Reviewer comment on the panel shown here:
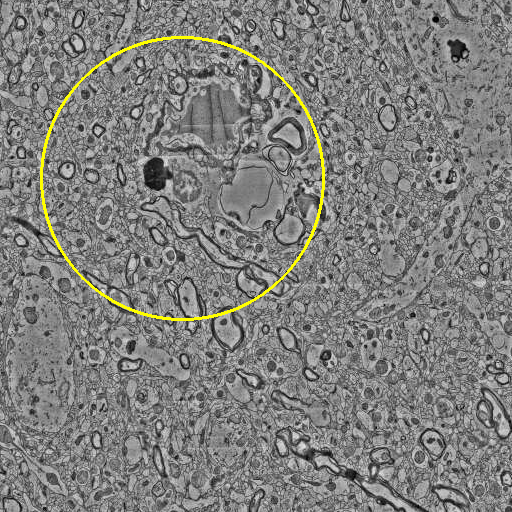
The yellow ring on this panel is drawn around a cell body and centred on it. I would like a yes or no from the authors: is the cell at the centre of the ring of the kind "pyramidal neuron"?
no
